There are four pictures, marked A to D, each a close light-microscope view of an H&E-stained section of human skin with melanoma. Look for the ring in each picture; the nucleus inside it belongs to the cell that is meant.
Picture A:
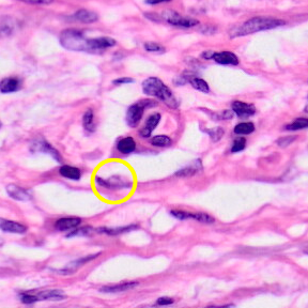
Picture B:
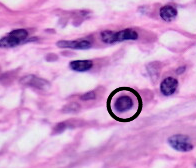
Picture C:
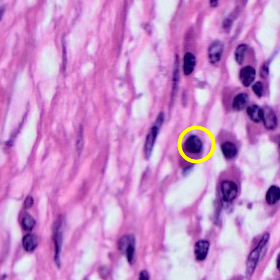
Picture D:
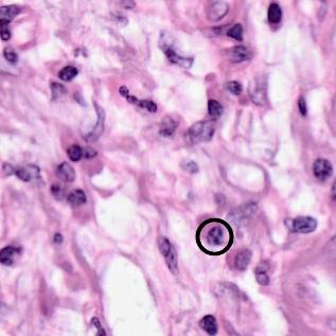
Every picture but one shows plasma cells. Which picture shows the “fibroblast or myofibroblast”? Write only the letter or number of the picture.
A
